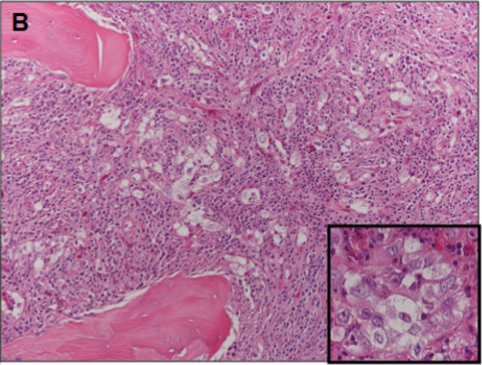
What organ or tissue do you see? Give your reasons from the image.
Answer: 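Broad, dense, acellular pink bands cross the top left and bottom of the field. Cellular tissue fills the spaces between these bands. On this evidence: bone.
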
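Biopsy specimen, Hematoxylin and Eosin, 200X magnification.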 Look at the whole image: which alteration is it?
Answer: adenocarcinoma metastatic to bone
